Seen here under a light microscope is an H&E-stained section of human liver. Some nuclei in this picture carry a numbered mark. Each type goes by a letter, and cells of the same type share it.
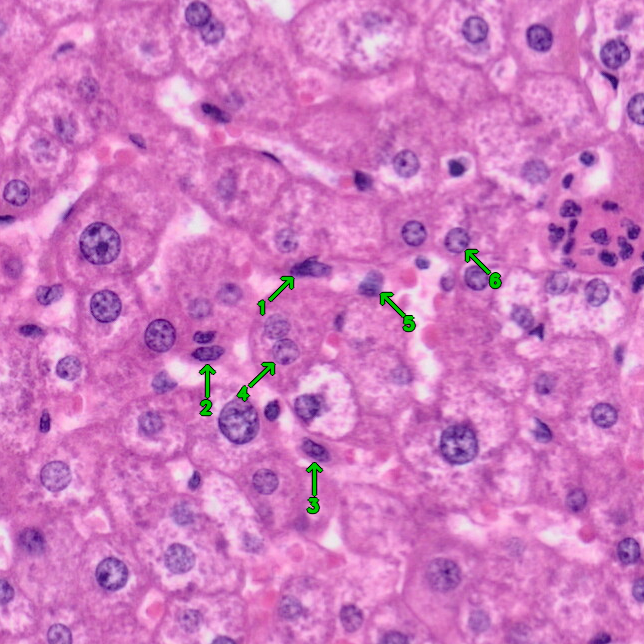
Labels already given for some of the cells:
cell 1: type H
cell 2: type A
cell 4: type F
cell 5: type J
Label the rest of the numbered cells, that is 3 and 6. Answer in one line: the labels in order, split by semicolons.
type A; type F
